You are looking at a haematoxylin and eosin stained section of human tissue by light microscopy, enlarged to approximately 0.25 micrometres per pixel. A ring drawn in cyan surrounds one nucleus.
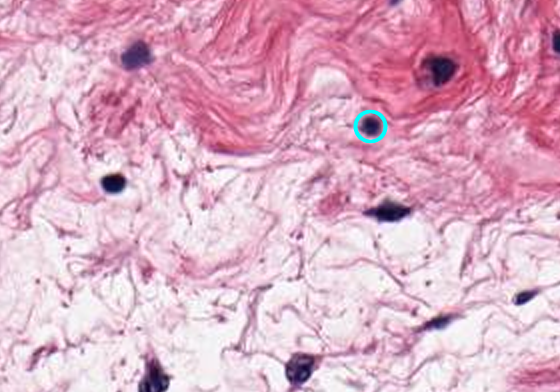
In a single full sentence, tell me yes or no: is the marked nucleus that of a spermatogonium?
No, for the marked nucleus, the owning cell is a supporting cell, not a spermatogonium.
